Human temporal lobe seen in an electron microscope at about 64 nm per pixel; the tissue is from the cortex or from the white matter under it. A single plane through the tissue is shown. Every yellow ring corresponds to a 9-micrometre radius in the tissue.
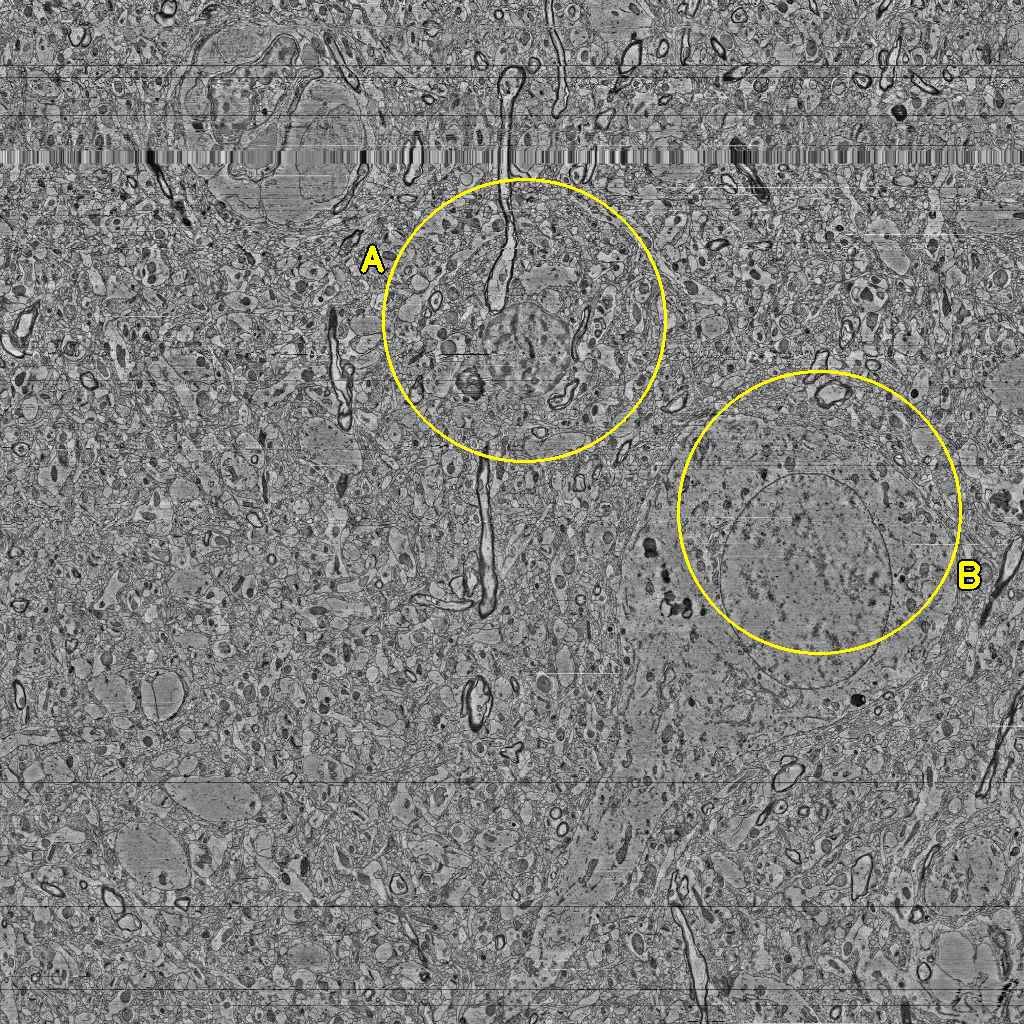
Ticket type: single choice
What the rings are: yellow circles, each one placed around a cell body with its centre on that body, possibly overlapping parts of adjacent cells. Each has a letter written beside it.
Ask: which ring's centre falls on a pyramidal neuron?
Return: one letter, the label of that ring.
B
